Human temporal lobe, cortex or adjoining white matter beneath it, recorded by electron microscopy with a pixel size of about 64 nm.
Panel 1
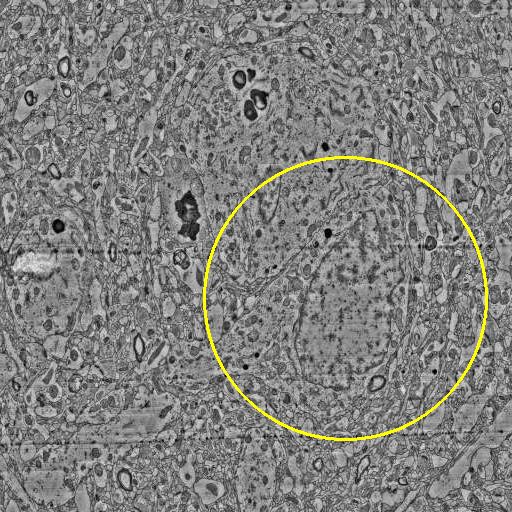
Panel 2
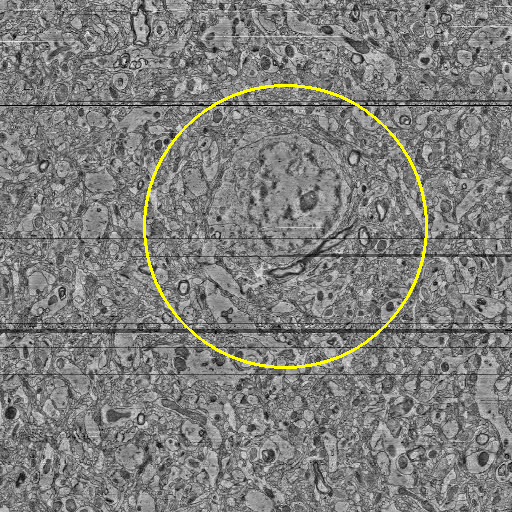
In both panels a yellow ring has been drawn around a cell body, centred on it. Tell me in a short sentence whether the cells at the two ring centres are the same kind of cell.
Yes, they are the same kind of cell.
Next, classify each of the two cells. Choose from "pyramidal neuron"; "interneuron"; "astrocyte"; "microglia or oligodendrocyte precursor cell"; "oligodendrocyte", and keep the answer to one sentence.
Each cell at the centre of a ring is an interneuron.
